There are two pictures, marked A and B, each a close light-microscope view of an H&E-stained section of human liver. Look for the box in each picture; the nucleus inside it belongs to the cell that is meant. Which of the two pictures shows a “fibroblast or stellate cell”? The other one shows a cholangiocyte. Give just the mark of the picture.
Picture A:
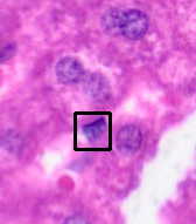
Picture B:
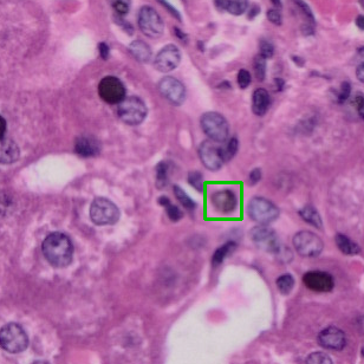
A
